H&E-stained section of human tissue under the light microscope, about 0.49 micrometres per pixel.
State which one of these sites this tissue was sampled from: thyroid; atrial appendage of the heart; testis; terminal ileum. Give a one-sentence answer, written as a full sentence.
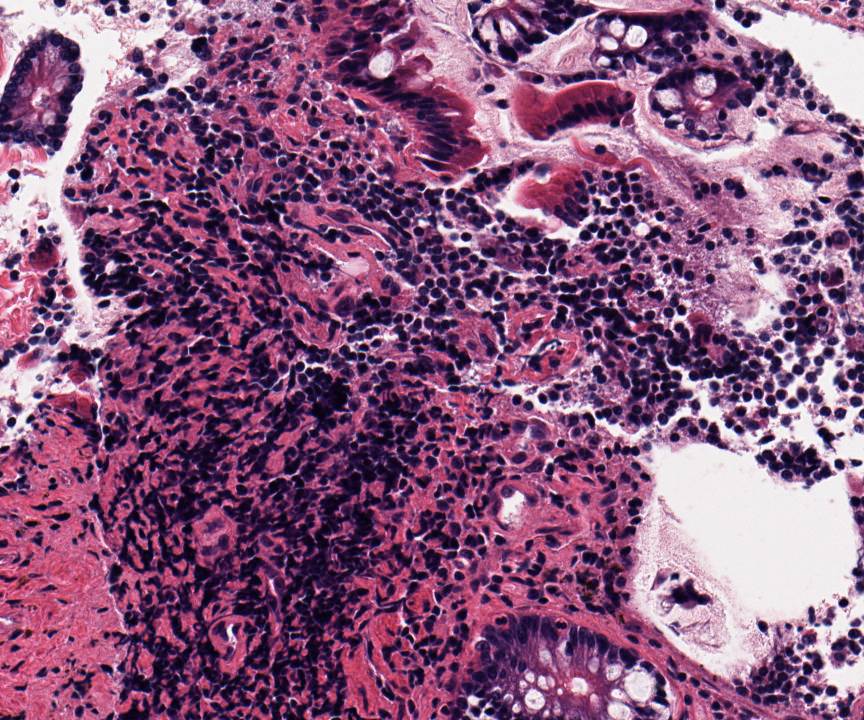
A piece of the terminal ileum was sampled for this section.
